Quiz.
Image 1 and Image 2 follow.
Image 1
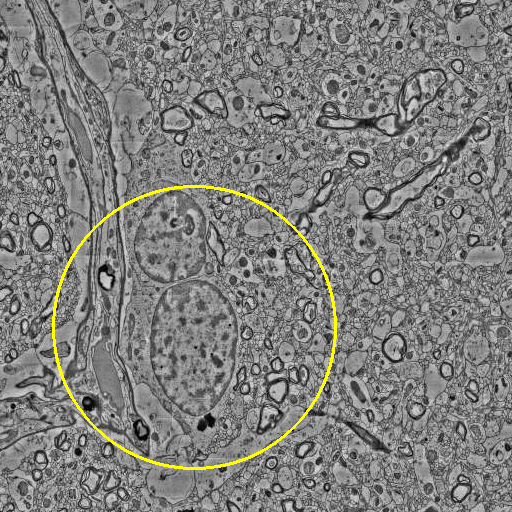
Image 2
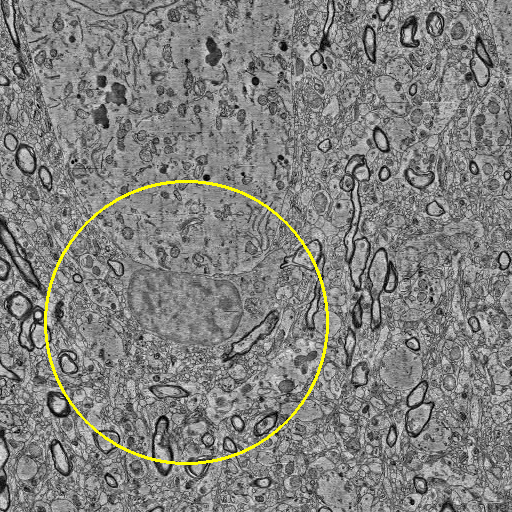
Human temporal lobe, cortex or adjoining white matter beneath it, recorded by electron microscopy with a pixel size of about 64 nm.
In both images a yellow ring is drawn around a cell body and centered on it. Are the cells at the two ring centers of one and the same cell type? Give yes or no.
yes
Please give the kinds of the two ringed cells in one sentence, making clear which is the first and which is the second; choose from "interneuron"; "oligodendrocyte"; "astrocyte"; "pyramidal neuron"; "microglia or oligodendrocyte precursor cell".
Each of the ringed cells, first and second, is an oligodendrocyte.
